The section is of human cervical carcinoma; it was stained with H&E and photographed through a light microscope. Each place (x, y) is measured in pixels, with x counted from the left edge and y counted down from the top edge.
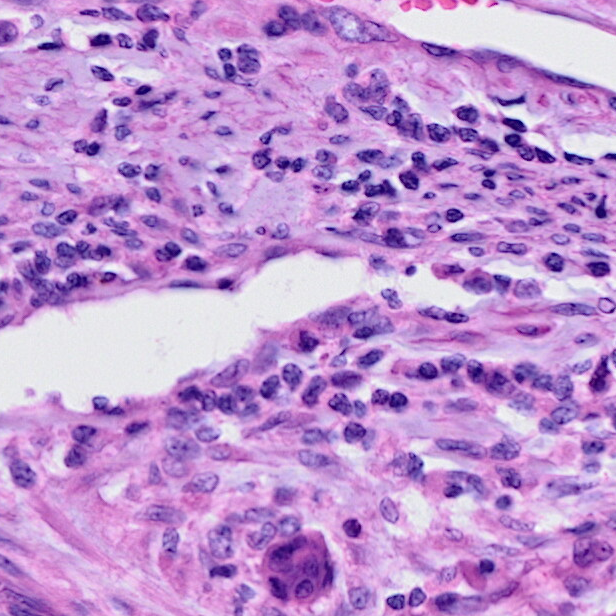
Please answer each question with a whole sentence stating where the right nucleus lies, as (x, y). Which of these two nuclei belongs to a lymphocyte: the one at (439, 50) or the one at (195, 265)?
Heads up, the nucleus at (195, 265) is the one that belongs to a lymphocyte.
